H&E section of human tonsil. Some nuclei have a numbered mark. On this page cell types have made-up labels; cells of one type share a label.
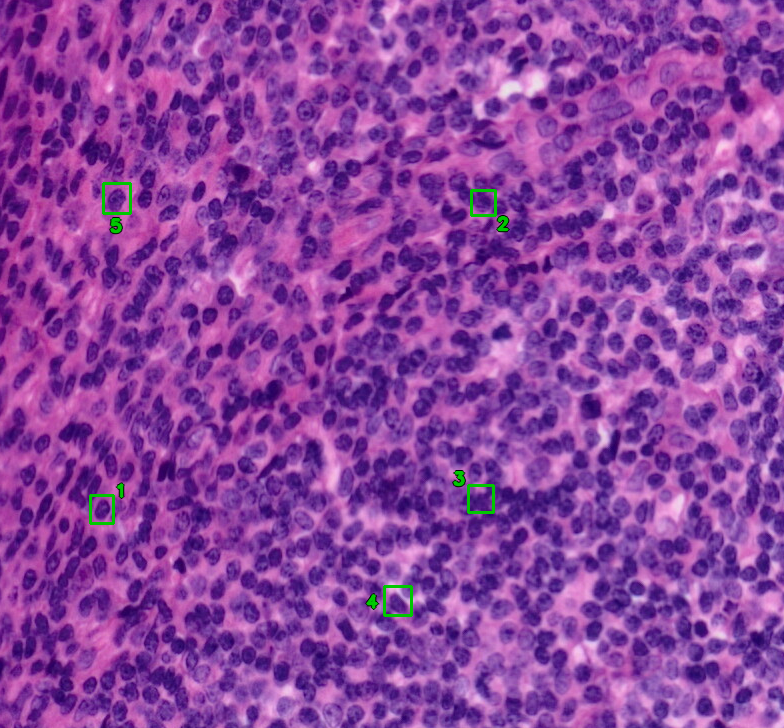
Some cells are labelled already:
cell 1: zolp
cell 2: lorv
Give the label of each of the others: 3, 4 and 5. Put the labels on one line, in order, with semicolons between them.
lorv; lorv; zolp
